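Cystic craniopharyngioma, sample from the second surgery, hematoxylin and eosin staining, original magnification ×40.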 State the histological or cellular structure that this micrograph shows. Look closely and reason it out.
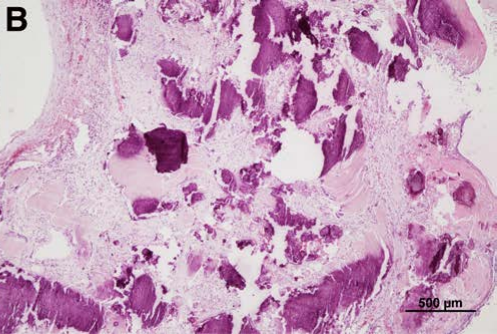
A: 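Many dark purple, sharp-edged, fragmented deposits fill much of the field. The deposits are cracked and angular, unlike cells or nuclei. That points to this answer: calcifications.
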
